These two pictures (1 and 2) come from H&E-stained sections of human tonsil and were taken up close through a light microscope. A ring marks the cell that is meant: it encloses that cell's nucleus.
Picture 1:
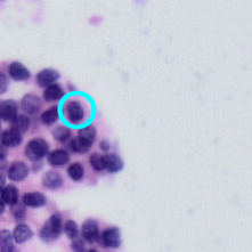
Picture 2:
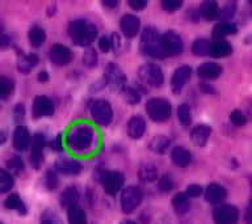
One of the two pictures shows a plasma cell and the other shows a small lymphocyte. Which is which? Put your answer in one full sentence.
Picture 1 shows a small lymphocyte and picture 2 shows a plasma cell.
